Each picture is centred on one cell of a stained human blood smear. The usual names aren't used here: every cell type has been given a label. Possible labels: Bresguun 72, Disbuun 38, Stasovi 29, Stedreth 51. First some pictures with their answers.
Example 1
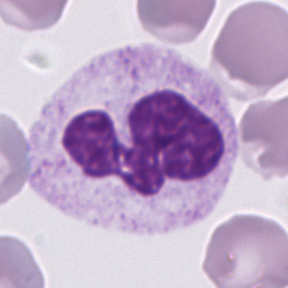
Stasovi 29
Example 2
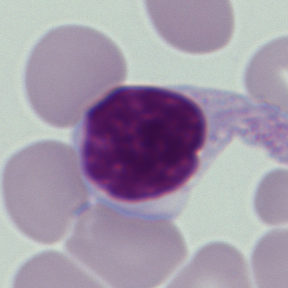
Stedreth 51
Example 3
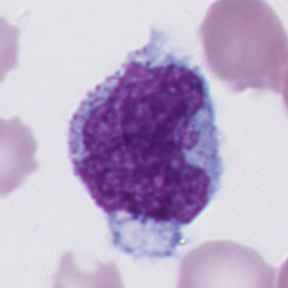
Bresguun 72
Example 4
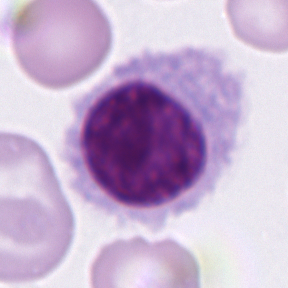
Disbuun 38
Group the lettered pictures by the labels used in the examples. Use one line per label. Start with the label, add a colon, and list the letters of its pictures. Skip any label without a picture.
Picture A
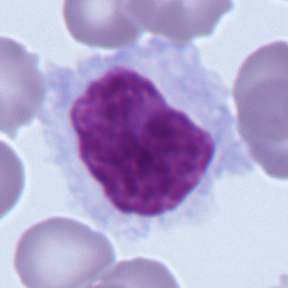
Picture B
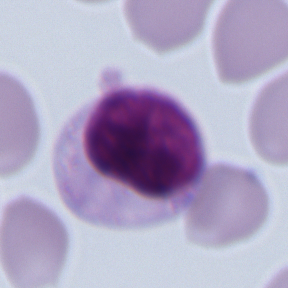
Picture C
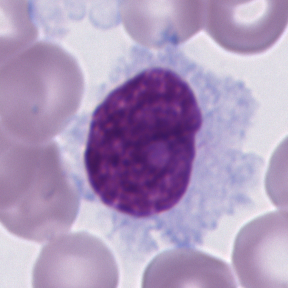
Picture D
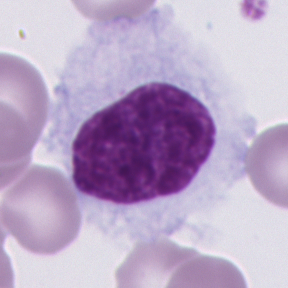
Disbuun 38: A, C, D
Stedreth 51: B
